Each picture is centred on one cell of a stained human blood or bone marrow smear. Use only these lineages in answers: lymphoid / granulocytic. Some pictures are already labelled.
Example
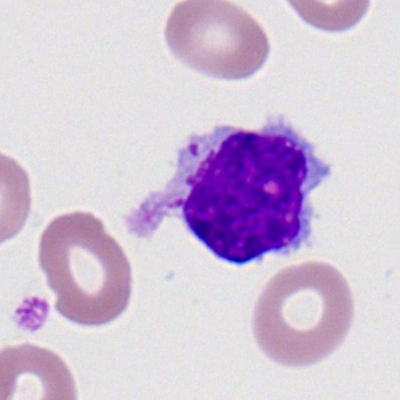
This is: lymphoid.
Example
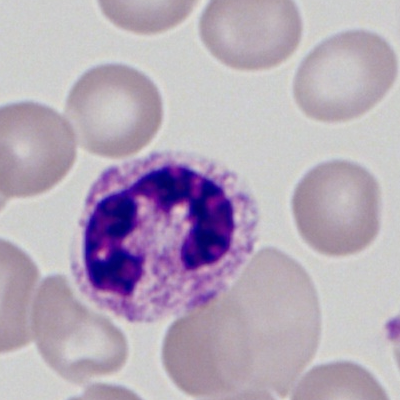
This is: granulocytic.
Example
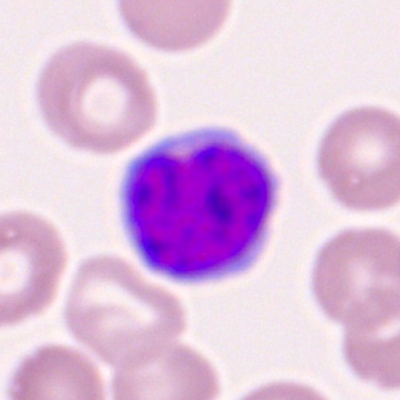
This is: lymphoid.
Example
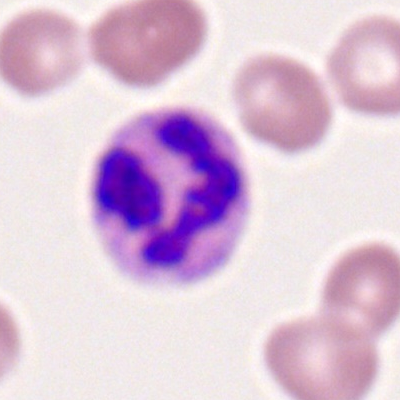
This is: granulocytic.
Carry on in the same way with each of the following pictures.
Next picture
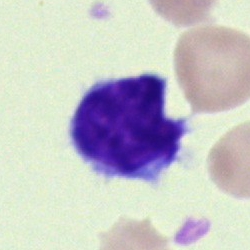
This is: lymphoid.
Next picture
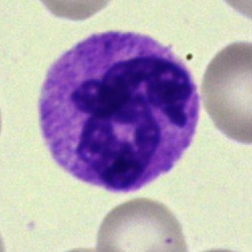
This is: granulocytic.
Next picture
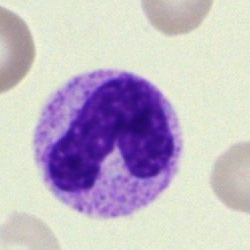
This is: granulocytic.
